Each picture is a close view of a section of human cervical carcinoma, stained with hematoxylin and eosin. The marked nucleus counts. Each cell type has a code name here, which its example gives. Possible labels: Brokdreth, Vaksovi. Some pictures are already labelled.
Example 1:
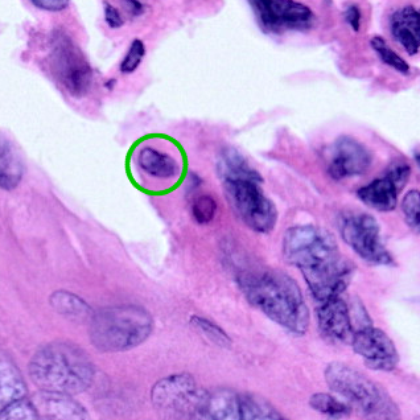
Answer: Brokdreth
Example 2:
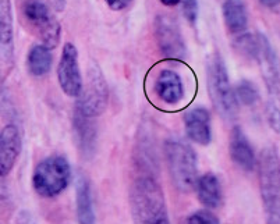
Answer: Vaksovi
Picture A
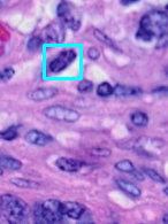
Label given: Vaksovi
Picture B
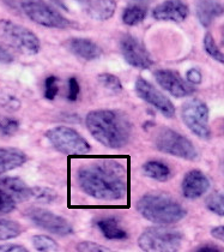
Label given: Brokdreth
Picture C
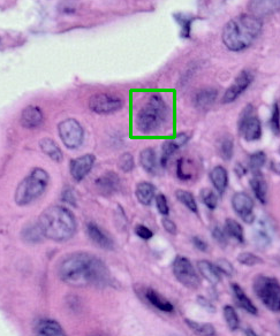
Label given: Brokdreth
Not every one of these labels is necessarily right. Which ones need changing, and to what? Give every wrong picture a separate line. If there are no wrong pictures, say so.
None of the labels needs changing.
